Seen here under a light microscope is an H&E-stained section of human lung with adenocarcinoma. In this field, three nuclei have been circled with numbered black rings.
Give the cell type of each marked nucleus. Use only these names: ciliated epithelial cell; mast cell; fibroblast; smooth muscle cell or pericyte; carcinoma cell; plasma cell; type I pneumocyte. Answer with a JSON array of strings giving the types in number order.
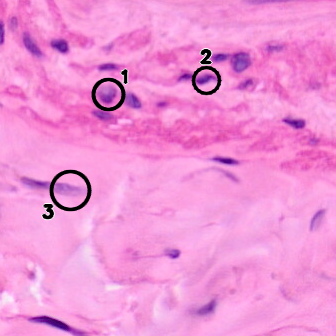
["smooth muscle cell or pericyte", "smooth muscle cell or pericyte", "fibroblast"]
